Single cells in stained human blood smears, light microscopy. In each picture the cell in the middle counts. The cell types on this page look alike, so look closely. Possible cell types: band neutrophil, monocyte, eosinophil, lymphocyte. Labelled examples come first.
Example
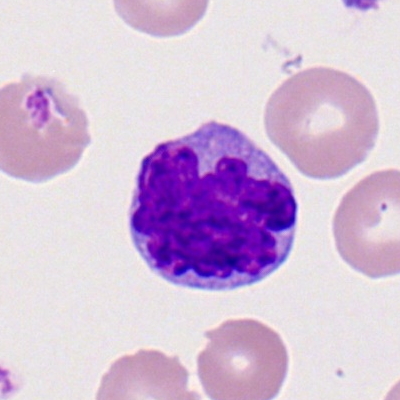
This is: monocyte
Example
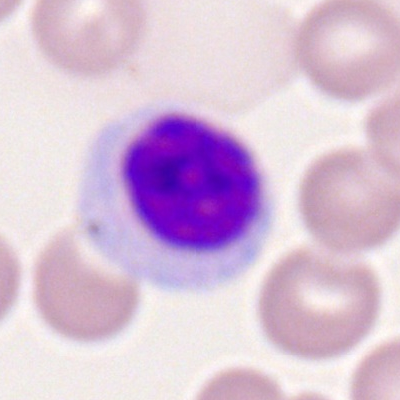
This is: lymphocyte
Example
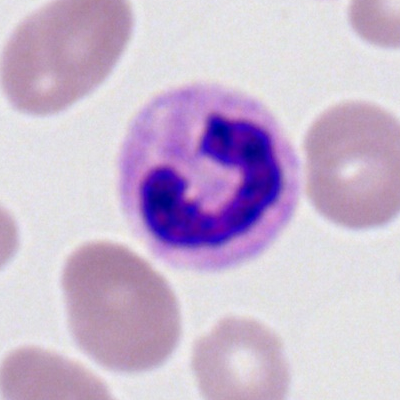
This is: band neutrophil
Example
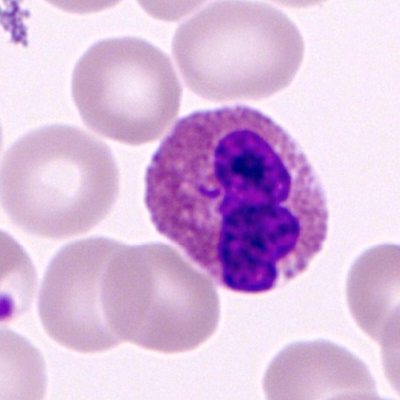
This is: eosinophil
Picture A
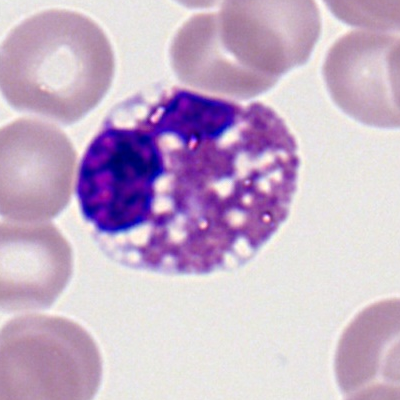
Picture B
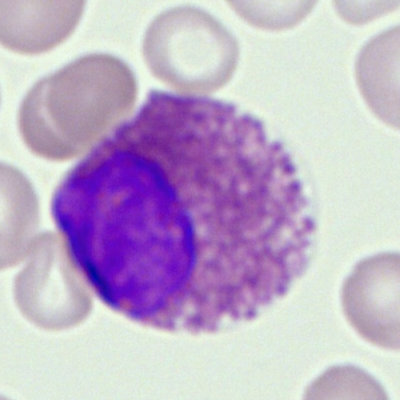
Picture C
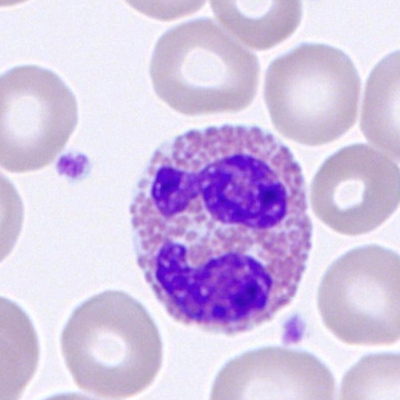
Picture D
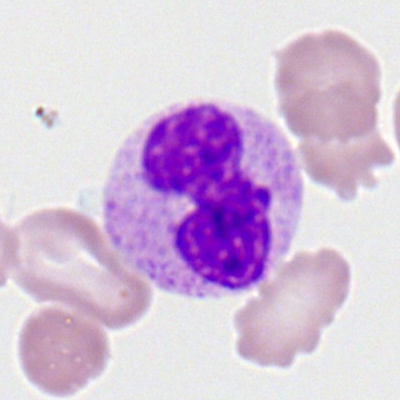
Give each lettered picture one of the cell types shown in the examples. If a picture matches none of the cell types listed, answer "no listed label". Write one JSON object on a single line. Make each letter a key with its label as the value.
{"A": "eosinophil", "B": "eosinophil", "C": "eosinophil", "D": "monocyte"}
